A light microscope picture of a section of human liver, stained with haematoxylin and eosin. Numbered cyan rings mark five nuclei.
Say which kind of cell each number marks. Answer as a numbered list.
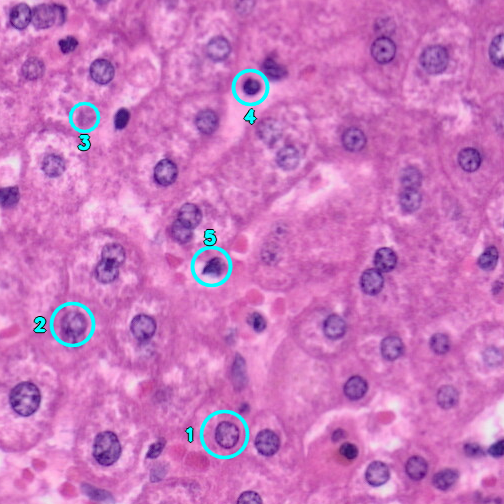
1. hepatocyte
2. hepatocyte
3. hepatocyte
4. lymphocyte
5. endothelial cell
